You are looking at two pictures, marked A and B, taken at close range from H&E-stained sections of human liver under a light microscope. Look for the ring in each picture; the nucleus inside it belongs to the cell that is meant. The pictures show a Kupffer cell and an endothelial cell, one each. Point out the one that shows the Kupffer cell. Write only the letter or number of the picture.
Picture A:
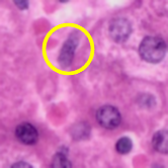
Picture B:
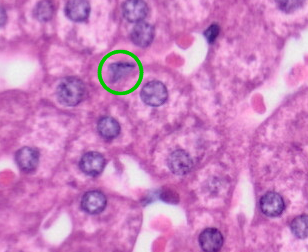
A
